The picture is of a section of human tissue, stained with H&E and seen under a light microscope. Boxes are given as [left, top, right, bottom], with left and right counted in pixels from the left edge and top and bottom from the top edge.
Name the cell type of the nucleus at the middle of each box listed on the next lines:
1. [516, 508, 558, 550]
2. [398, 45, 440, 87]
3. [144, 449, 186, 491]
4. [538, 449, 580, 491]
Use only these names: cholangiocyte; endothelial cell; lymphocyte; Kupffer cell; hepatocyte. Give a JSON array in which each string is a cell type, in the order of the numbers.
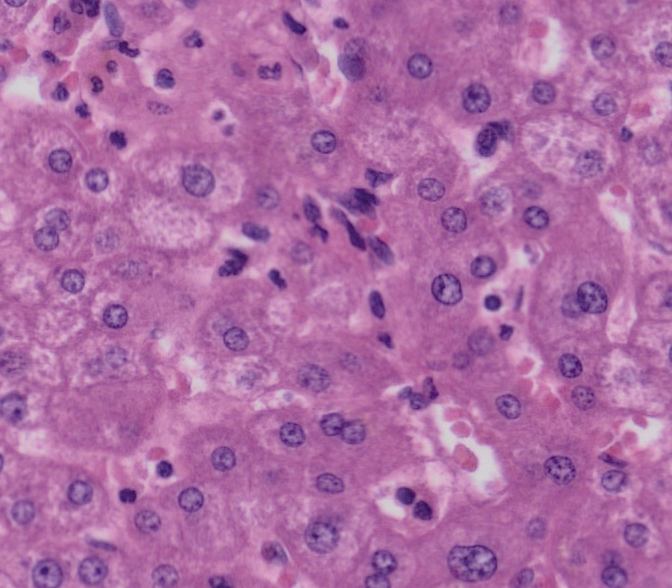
["hepatocyte", "hepatocyte", "lymphocyte", "hepatocyte"]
